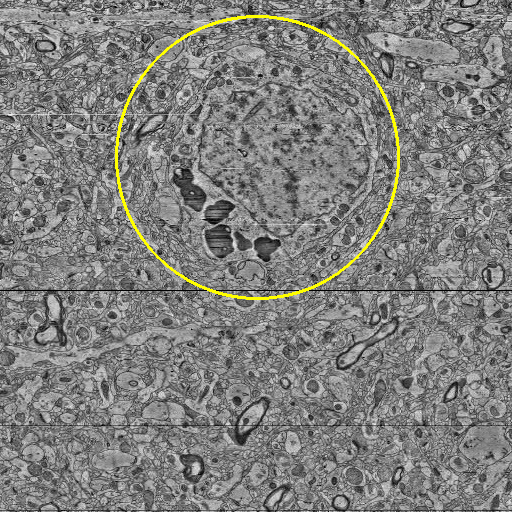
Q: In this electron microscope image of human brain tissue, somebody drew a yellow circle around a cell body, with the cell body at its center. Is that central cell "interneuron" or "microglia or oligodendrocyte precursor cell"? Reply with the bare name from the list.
interneuron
